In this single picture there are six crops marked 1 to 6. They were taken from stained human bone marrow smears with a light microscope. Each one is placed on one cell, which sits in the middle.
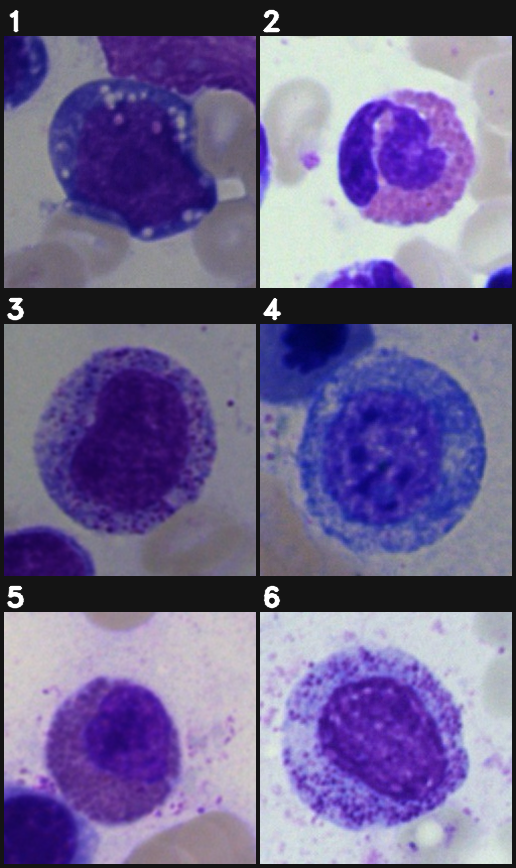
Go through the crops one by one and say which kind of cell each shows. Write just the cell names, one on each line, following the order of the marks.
blast
eosinophil
promyelocyte
promyelocyte
eosinophil
promyelocyte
